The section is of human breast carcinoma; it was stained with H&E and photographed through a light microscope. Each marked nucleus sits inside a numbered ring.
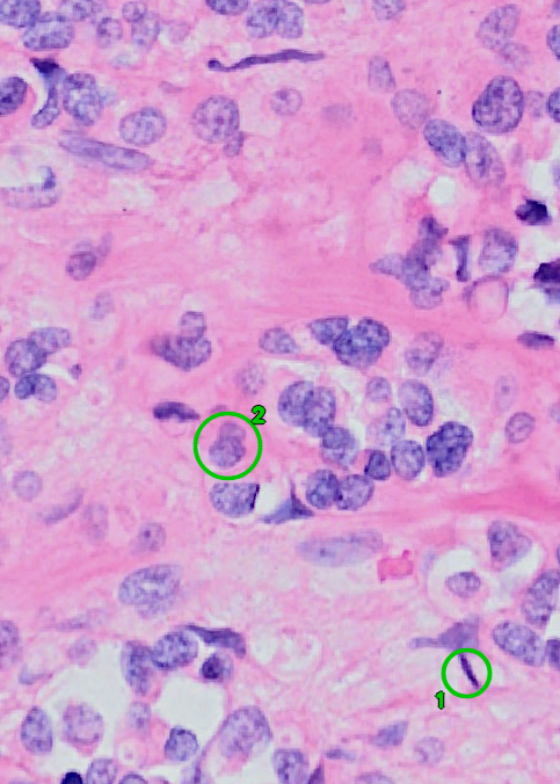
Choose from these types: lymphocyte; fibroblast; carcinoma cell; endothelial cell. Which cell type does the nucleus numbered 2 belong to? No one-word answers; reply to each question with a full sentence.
The cell carrying label 2 is identified as a carcinoma cell.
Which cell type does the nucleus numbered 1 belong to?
Cell 1 of the marked set is a fibroblast.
